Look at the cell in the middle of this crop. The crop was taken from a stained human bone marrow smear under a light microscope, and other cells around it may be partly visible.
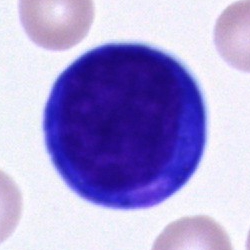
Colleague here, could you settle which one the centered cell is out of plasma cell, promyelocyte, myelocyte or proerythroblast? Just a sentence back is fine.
The centrally placed cell is classified as a proerythroblast.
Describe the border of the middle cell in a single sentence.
You can see a smooth boundary, with no projections sticking out.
